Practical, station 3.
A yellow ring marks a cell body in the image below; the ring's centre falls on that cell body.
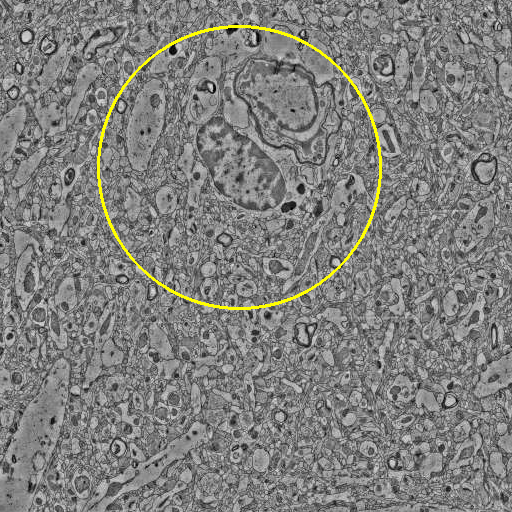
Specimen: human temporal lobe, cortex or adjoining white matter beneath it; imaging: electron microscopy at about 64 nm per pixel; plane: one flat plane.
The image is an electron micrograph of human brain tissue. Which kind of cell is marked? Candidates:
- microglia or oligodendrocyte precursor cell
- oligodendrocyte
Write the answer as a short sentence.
The marked cell body is that of a microglial cell or oligodendrocyte precursor cell.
